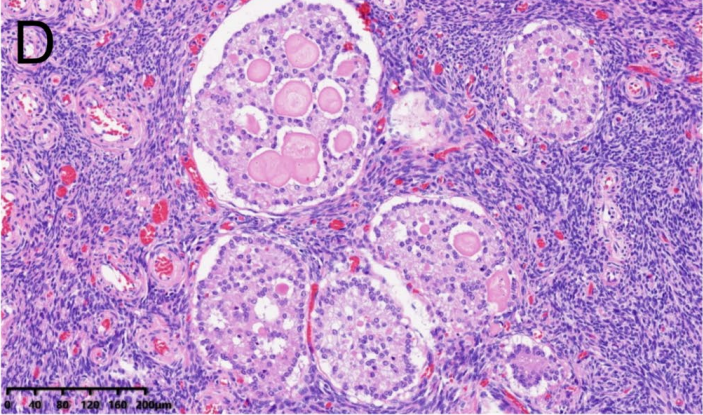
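Ovarian tissue with variably sized, rounded nests of tumor cells set in a dense, cellular spindle-cell stroma with many congested blood vessels. The nests contain simple and complex tubules. Round, homogeneous pink globules of basement membrane-like material lie within the nests. Smaller discrete nests are scattered in the surrounding stroma.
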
